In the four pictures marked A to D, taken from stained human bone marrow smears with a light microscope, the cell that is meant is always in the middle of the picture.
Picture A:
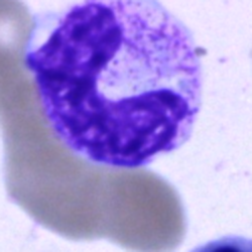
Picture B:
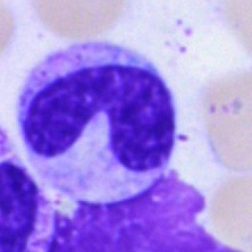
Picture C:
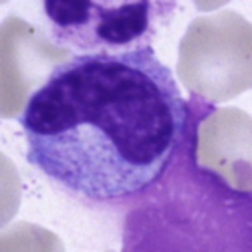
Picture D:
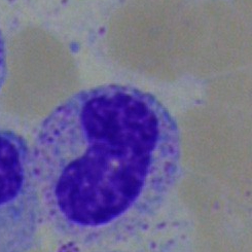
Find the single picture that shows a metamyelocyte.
C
